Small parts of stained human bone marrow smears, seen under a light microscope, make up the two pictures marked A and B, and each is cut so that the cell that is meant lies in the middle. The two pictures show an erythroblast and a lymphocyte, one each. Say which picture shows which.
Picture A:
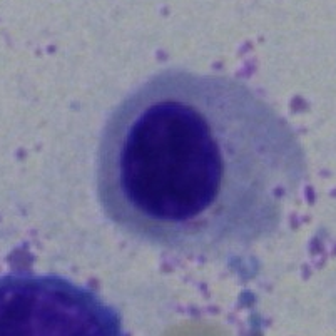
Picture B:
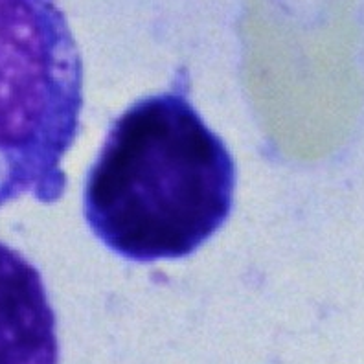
A: erythroblast
B: lymphocyte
